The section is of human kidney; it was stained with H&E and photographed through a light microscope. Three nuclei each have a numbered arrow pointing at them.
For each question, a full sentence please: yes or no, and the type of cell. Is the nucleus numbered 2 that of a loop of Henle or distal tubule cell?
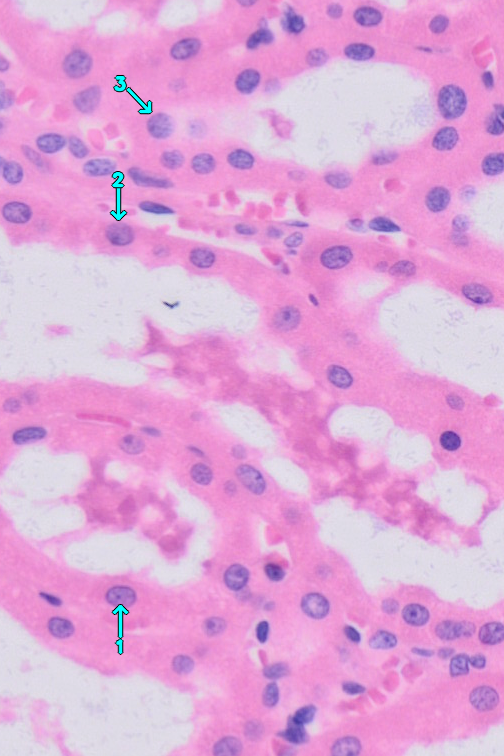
No, the cell at number 2 is a proximal tubule cell instead of a loop of Henle or distal tubule cell.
